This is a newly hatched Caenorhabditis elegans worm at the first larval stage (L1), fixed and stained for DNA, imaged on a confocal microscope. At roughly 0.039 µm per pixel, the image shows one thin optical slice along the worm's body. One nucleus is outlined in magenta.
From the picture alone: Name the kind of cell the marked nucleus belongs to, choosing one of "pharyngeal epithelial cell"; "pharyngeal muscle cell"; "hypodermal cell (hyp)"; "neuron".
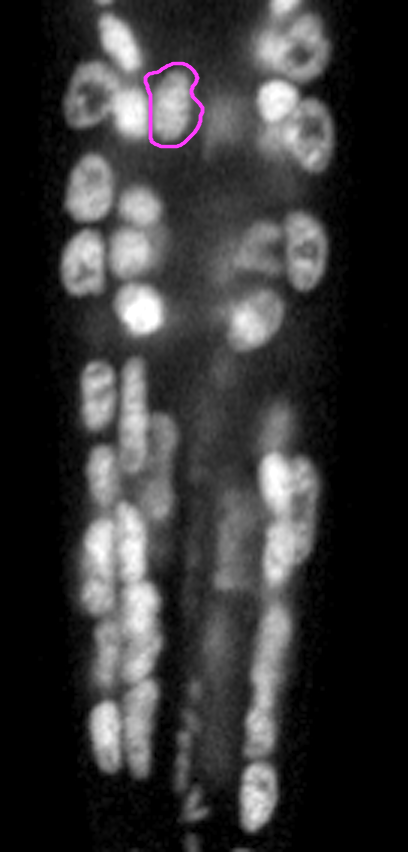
neuron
